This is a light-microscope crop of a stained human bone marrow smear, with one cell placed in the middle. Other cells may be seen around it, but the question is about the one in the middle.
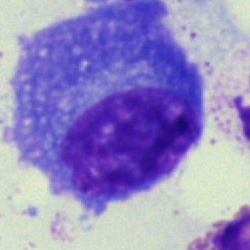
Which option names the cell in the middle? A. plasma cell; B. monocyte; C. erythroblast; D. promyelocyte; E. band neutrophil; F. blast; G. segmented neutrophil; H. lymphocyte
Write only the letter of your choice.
A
